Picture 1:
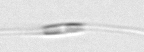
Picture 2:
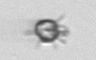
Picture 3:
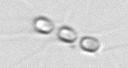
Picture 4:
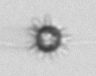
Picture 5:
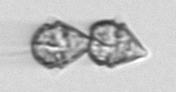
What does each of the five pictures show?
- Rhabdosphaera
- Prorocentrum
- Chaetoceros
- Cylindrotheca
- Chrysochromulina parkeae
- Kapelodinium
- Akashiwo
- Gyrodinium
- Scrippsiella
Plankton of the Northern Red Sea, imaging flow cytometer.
Picture 1: Cylindrotheca
Picture 2: Rhabdosphaera
Picture 3: Chaetoceros
Picture 4: Rhabdosphaera
Picture 5: Scrippsiella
